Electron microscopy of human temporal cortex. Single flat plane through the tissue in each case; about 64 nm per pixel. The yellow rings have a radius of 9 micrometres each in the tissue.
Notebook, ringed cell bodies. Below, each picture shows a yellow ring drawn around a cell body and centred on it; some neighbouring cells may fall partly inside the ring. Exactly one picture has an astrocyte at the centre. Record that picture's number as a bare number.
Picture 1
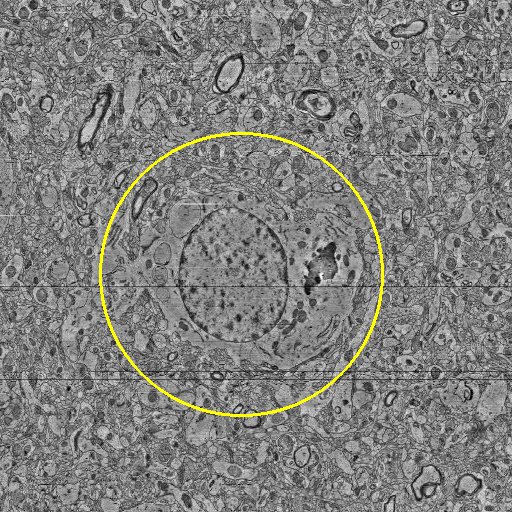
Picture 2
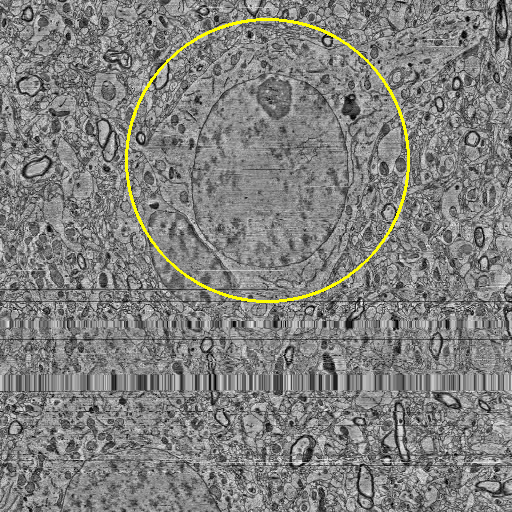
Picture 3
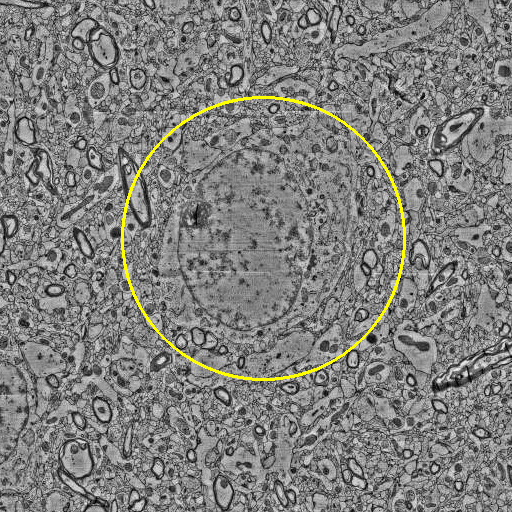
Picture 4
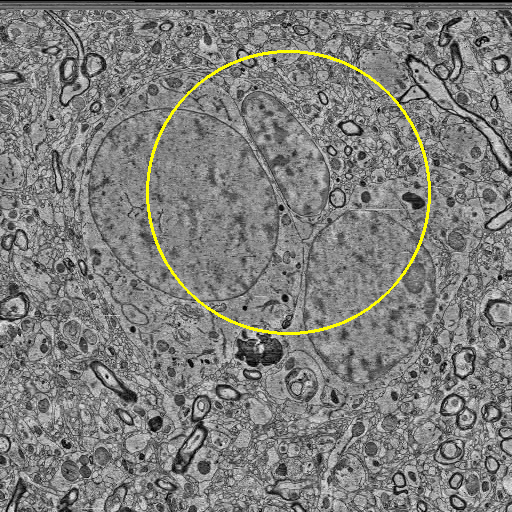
1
